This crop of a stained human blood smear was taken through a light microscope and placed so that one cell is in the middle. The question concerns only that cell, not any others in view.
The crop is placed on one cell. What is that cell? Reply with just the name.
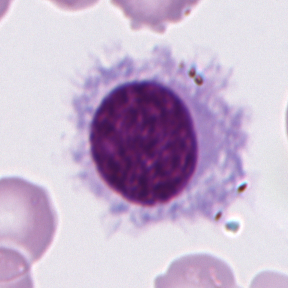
hairy cell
